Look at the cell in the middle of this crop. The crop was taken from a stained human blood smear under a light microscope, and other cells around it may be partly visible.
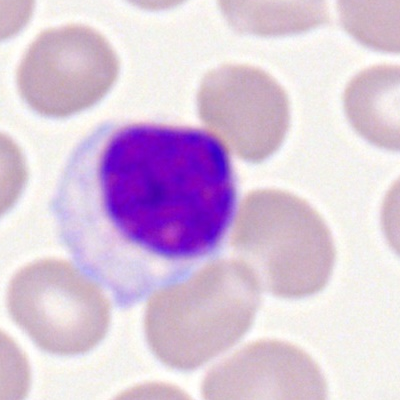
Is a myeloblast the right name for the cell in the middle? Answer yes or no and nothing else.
no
